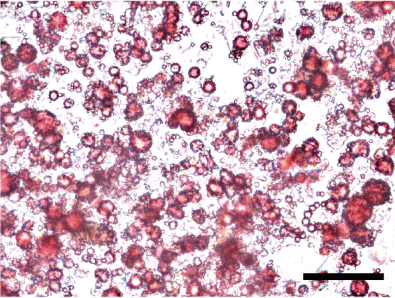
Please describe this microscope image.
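Cultured adipocytes in brightfield with a red lipid stain fill the field. Droplets vary from small to fairly large and are packed tightly within each cell, forming dense clumps. Scattered between the clumps are many small isolated pale droplets on a light, largely unstained background. The overall field is densely populated with droplet-laden cells.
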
